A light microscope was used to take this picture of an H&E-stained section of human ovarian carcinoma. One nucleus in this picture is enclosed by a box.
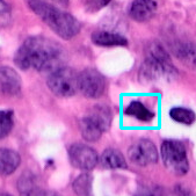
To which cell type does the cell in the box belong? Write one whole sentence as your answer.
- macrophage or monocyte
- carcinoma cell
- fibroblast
Cell type answer for this item: the cell in the box is a carcinoma cell.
